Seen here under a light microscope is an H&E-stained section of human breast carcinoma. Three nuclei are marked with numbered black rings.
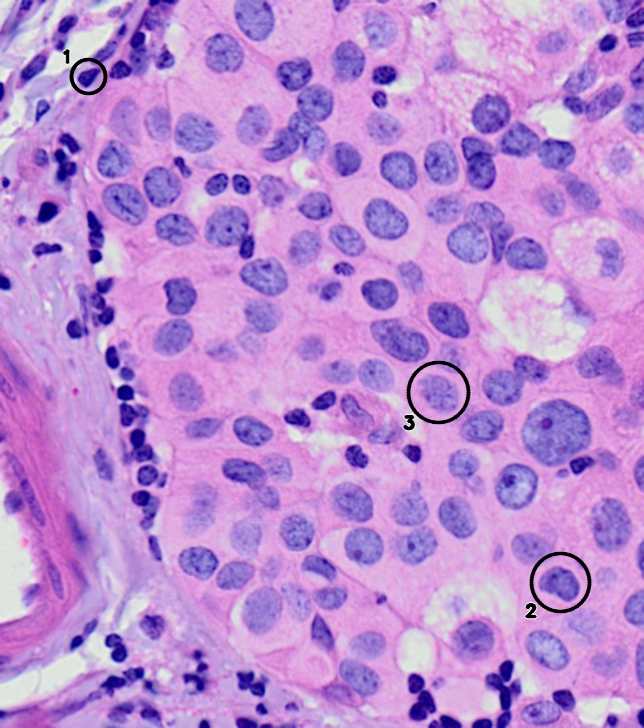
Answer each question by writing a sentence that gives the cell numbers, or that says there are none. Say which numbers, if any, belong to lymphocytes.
Cell 1 is a lymphocyte; the remaining numbered cells are not.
